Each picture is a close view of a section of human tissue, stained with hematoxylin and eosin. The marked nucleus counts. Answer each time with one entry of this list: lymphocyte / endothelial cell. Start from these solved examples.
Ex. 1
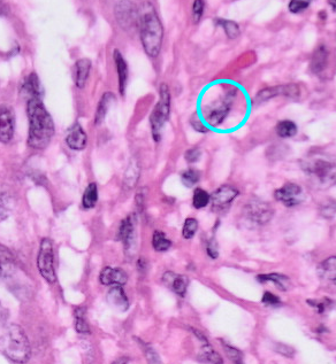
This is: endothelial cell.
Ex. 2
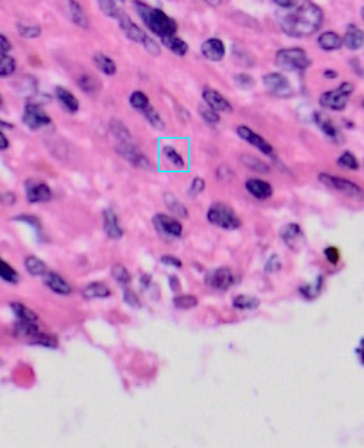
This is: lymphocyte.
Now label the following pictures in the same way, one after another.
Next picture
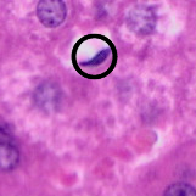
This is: endothelial cell.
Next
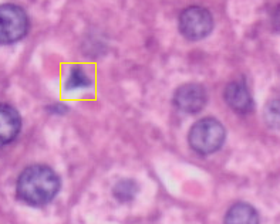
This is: endothelial cell.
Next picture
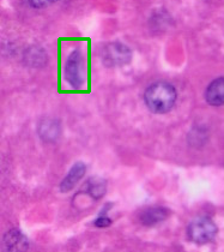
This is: endothelial cell.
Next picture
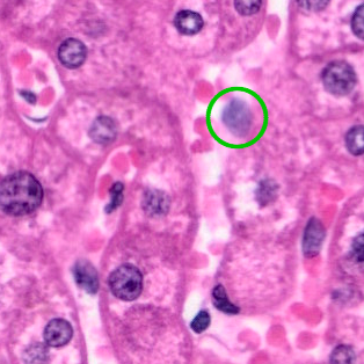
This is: endothelial cell.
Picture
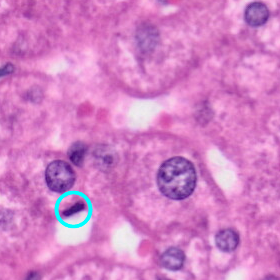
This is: endothelial cell.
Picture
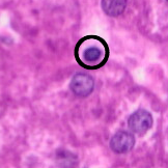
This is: lymphocyte.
